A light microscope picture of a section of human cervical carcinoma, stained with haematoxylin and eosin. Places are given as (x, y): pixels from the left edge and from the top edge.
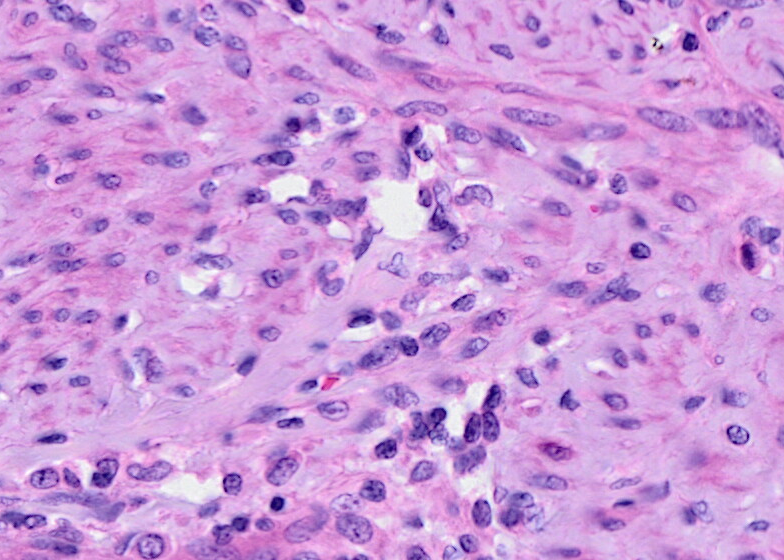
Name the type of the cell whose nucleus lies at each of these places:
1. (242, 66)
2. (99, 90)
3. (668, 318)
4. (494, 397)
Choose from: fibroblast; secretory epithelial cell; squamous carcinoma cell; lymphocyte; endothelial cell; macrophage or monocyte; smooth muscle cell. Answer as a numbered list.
1. smooth muscle cell
2. smooth muscle cell
3. smooth muscle cell
4. lymphocyte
